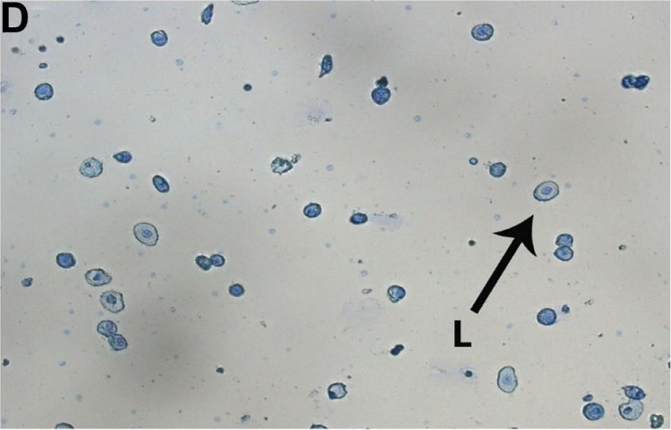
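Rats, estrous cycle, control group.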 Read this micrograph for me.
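This vaginal smear consists almost entirely of small round leukocytes scattered singly over a clear background. Large flat epithelial cells, nucleated or not, are nearly absent.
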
